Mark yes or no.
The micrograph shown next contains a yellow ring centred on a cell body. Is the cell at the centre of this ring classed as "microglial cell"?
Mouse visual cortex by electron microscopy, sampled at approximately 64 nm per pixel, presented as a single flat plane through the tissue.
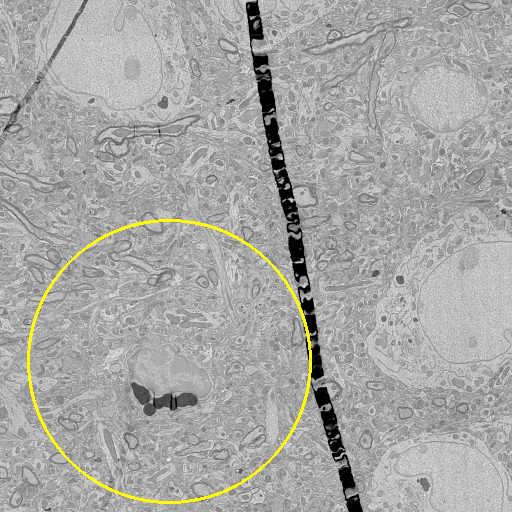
yes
